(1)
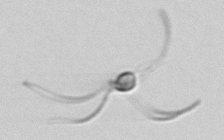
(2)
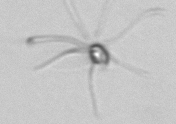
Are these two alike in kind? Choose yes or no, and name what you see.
Yes. Ophiaster.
